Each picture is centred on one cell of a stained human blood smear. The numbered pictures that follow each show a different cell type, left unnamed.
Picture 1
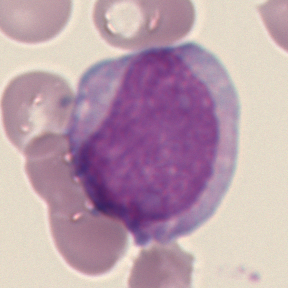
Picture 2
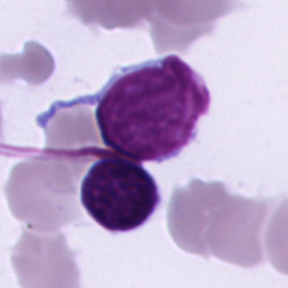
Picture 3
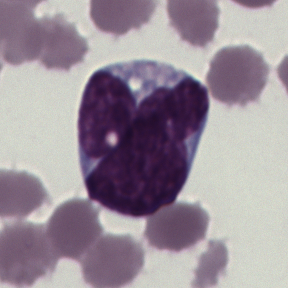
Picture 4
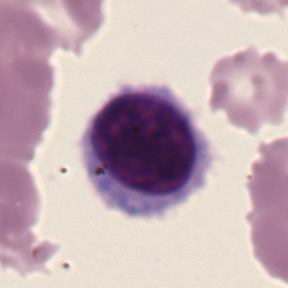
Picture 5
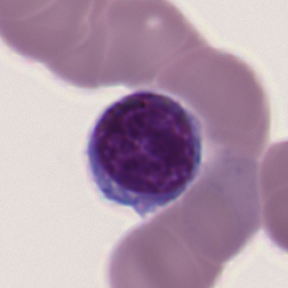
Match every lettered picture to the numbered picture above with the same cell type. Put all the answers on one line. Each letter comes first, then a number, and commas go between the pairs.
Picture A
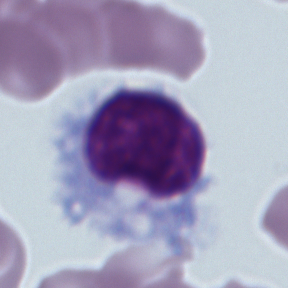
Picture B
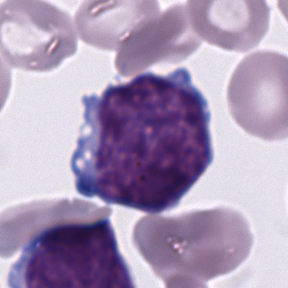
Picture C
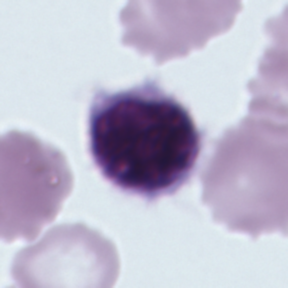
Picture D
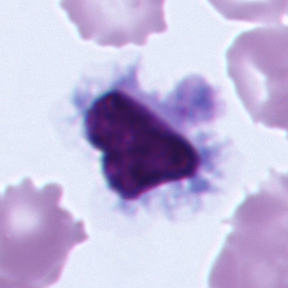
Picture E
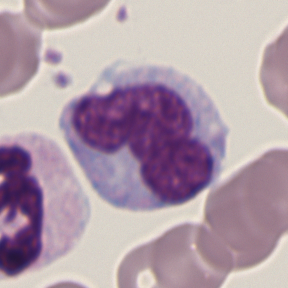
A 4, B 2, C 4, D 4, E 3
